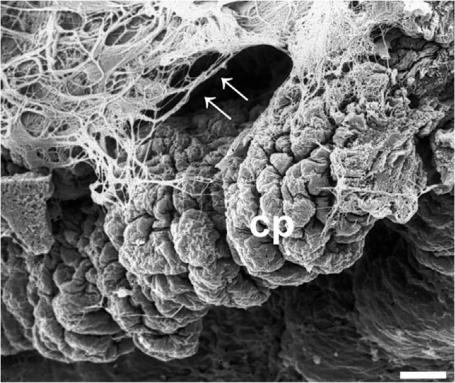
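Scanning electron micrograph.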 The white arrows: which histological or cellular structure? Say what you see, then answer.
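Zonular fibers. A dense web of fine fibres arises from the surface of the folded epithelium.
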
